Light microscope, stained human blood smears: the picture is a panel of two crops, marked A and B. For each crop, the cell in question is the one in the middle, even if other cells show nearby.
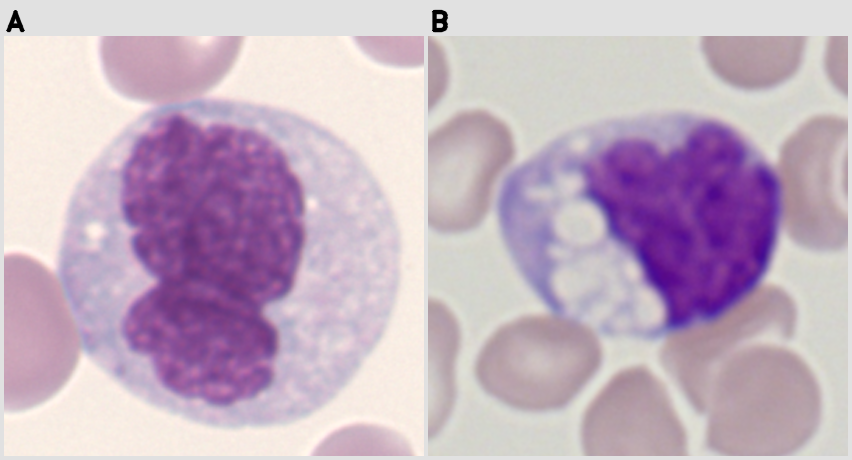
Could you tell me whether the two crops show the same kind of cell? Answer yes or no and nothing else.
yes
